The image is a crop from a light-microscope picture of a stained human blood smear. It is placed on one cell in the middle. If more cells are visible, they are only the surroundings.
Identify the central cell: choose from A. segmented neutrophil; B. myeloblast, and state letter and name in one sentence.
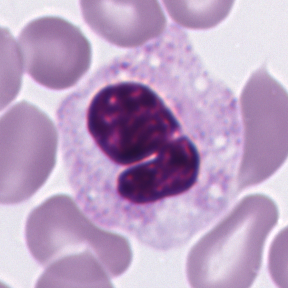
Option A is correct in that the central cell is a segmented neutrophil.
